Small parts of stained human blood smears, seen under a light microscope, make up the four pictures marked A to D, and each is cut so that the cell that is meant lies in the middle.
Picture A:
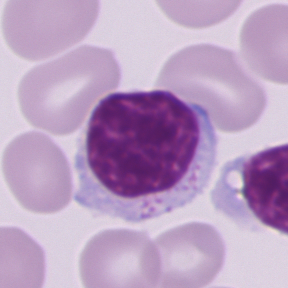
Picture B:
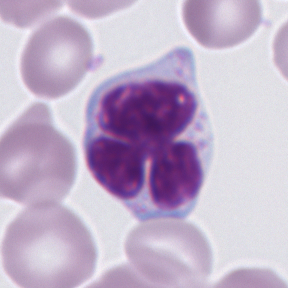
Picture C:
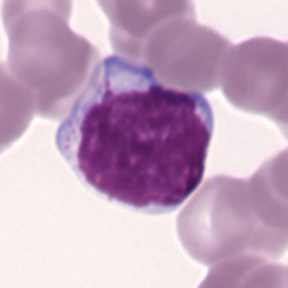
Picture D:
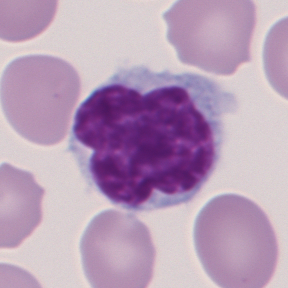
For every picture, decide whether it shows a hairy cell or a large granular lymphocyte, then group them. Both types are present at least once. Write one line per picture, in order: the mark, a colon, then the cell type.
A: large granular lymphocyte
B: large granular lymphocyte
C: large granular lymphocyte
D: hairy cell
